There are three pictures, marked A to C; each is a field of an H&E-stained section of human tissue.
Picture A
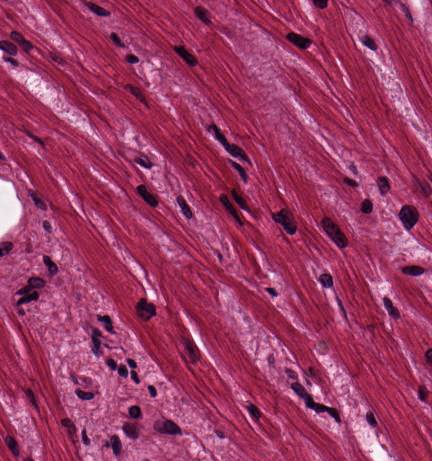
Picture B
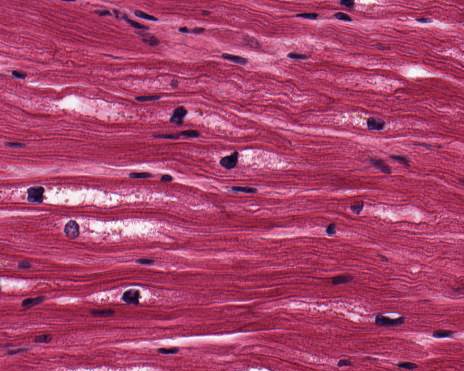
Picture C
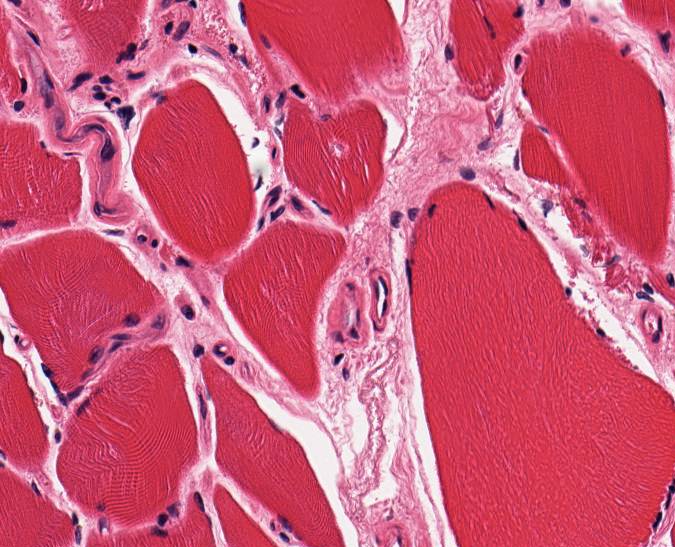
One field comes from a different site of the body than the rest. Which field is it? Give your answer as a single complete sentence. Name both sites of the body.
The others come from the atrial appendage of the heart, but picture C comes from skeletal muscle.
